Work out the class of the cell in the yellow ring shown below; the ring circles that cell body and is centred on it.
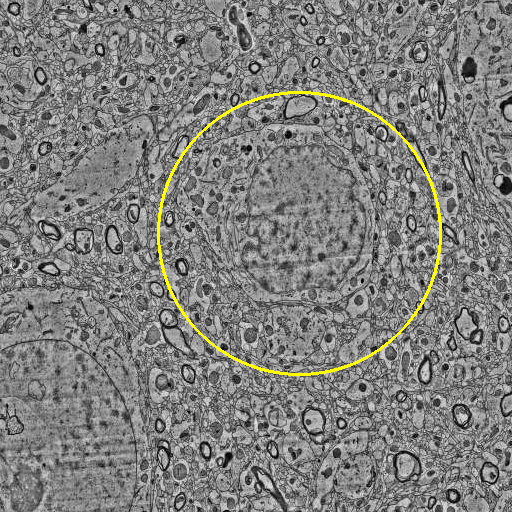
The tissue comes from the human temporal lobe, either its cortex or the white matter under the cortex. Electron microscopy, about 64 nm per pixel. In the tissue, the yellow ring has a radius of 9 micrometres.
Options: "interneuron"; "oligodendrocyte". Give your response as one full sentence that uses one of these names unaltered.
The body ringed in yellow, right at the ring's centre, is that of an interneuron.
